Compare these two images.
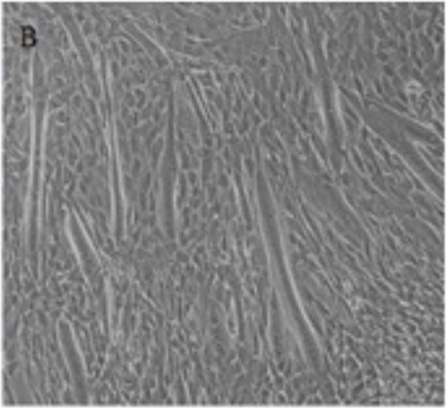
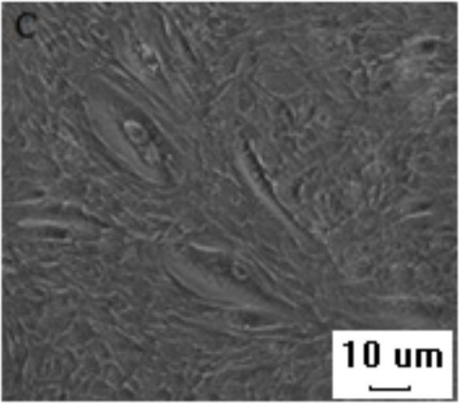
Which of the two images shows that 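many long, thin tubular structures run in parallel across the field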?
the first image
